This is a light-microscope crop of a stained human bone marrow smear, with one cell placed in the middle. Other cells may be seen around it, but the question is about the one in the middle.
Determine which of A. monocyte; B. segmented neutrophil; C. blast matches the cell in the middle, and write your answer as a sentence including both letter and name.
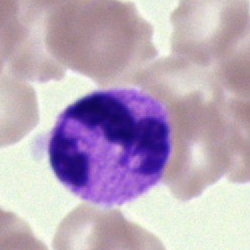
The cell placed in the middle is a segmented neutrophil; option B is correct.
